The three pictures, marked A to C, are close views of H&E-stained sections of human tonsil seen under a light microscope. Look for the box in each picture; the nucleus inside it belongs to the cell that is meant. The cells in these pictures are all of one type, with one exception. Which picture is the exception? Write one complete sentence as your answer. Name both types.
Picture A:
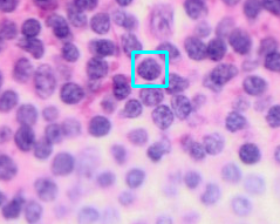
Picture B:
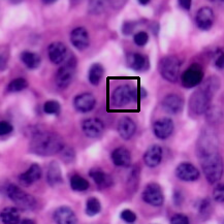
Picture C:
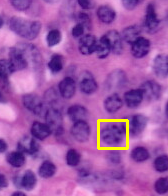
Picture A differs, because its cell is a small lymphocyte and the rest are plasma cells.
